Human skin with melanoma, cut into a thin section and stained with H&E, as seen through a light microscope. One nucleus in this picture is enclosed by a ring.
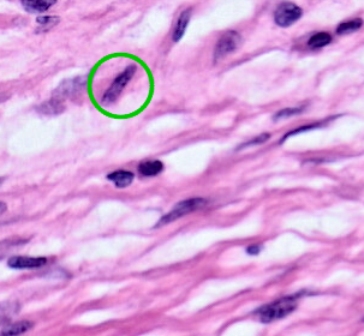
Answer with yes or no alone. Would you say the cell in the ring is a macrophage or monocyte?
yes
